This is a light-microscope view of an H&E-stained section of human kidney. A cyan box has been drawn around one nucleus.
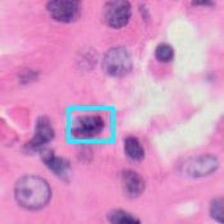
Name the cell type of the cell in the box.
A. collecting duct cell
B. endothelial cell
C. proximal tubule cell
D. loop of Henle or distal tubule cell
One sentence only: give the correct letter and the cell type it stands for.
Option D stands as correct, with the cell in the box being a loop of Henle or distal tubule cell.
